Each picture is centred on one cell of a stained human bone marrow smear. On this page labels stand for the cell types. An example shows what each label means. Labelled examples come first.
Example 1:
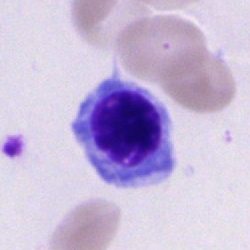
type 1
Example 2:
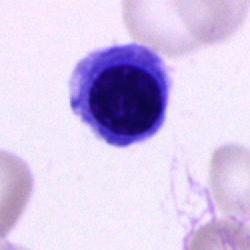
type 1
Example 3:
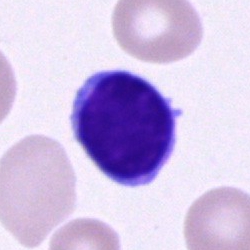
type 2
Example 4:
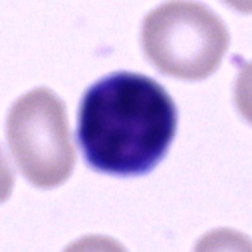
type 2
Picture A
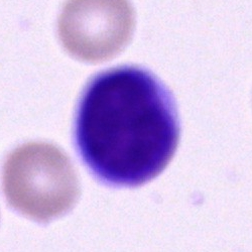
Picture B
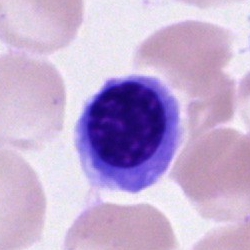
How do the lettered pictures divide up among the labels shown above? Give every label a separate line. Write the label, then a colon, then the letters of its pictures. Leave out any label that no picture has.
type 1: B
type 2: A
